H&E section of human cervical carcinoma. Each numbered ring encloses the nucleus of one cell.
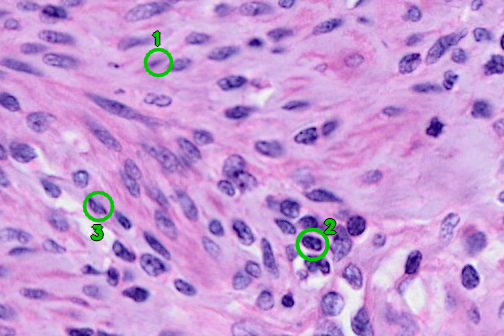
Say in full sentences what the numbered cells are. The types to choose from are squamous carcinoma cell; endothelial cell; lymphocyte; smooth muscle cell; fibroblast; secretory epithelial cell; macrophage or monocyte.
Cell 1 is a smooth muscle cell, cell 2 is a lymphocyte and cell 3 is a smooth muscle cell.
